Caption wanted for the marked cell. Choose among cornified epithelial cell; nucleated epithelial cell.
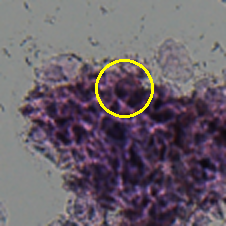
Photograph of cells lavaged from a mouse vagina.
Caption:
Ringed in yellow is a nucleated epithelial cell.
